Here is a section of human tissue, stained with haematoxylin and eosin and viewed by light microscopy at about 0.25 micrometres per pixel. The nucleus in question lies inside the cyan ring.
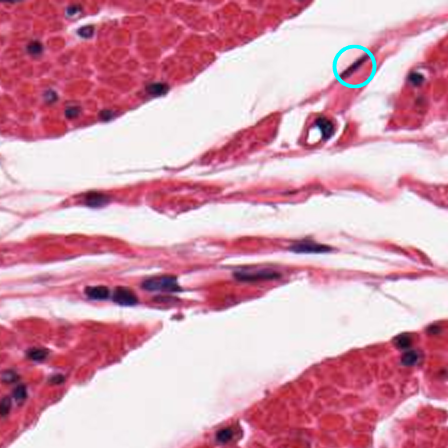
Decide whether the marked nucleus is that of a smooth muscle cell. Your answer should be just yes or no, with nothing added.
no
